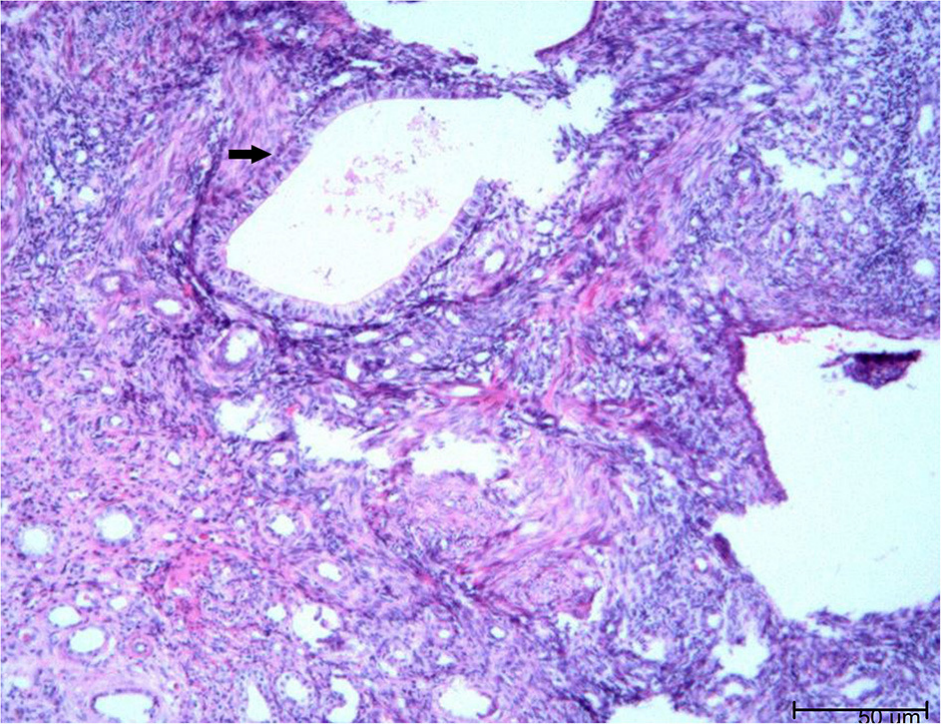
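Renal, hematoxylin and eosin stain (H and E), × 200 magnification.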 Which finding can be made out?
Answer: Endometriosis.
